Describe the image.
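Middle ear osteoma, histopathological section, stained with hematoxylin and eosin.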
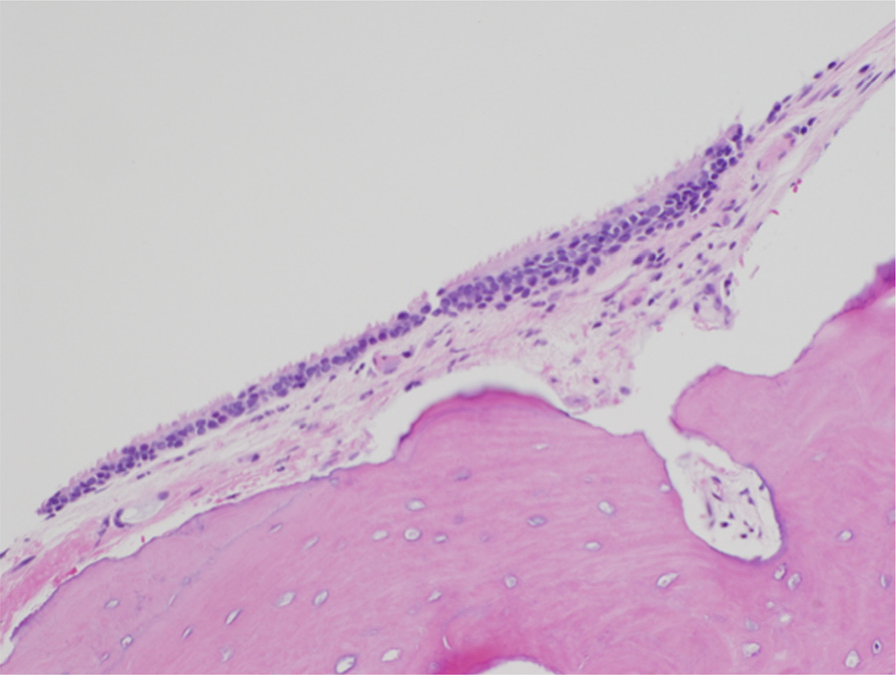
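Here a dense pink bone is covered on its surface by a thin lining of cuboidal ciliated epithelium, with a thin band of fibrous tissue in between. The bone in the lower part is homogeneous, deeply pink, and holds small cells sitting singly in little lacunae scattered through the matrix. Running diagonally across the upper part is the epithelial lining, a layer of closely packed cells with small, round, darkly purple nuclei; along its free edge fine hair-like projections can be made out. Between the epithelium and the bone lies a pale pink band of loose fibrous tissue with sparse spindle-shaped nuclei and a few small vessels. At one spot the fibrous tissue dips into a small channel in the bone, and elsewhere a narrow cleft separates the soft tissue from the bone surface.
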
